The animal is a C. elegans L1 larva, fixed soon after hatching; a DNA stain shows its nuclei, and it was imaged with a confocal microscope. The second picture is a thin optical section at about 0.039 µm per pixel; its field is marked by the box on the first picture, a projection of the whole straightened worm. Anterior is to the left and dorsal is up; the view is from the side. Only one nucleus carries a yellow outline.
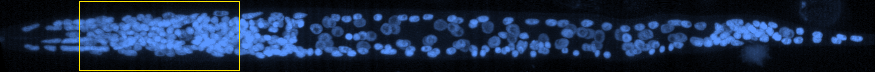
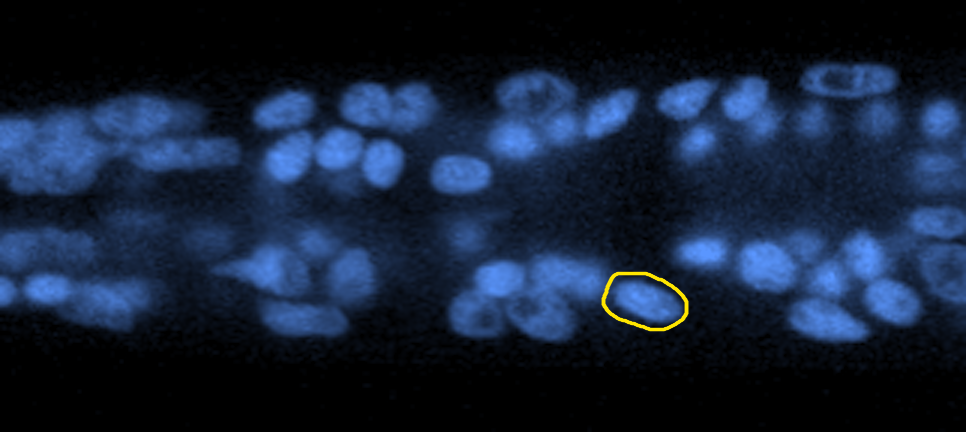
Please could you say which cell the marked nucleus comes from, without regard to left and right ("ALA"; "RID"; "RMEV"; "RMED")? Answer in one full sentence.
This is the nucleus of RMEV, a neuron.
